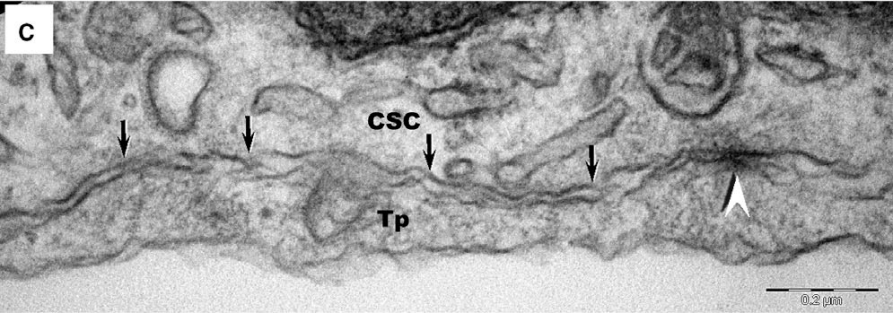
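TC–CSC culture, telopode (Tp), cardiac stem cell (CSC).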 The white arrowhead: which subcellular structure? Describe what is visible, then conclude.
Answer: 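A short, dense dark thickening lies where the two apposed membranes meet. Fuzzy dense material radiates into the cytoplasm on either side of that spot.
Puncta adherentia junction.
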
